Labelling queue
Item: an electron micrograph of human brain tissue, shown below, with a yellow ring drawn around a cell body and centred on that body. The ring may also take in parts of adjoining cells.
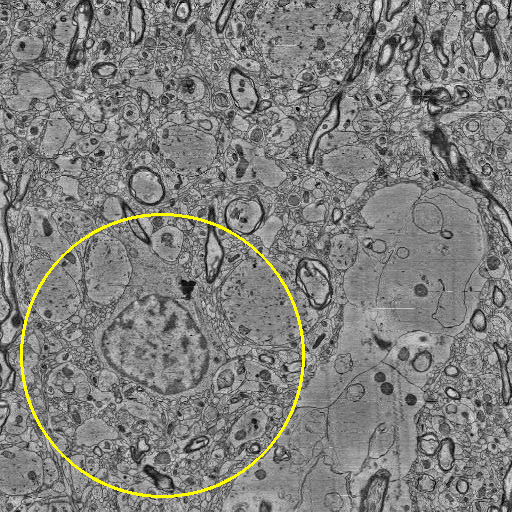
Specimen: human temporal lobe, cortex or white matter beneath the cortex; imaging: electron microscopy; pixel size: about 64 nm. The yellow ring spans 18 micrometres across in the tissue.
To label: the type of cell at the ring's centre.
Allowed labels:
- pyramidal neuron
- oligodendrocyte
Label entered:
oligodendrocyte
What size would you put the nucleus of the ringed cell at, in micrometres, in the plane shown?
In this plane the nucleus is about 7 micrometres by 5.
